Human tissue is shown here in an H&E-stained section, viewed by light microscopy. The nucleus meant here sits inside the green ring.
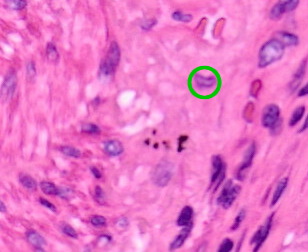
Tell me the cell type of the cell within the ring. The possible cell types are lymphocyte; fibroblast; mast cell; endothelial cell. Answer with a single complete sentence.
With respect to cell type, the cell within the ring is a fibroblast.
